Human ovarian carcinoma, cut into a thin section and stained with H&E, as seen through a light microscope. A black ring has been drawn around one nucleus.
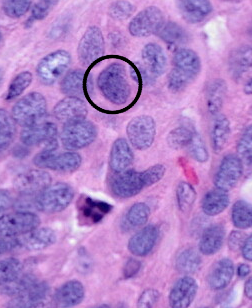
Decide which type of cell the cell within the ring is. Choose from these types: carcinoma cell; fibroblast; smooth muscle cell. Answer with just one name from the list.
carcinoma cell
